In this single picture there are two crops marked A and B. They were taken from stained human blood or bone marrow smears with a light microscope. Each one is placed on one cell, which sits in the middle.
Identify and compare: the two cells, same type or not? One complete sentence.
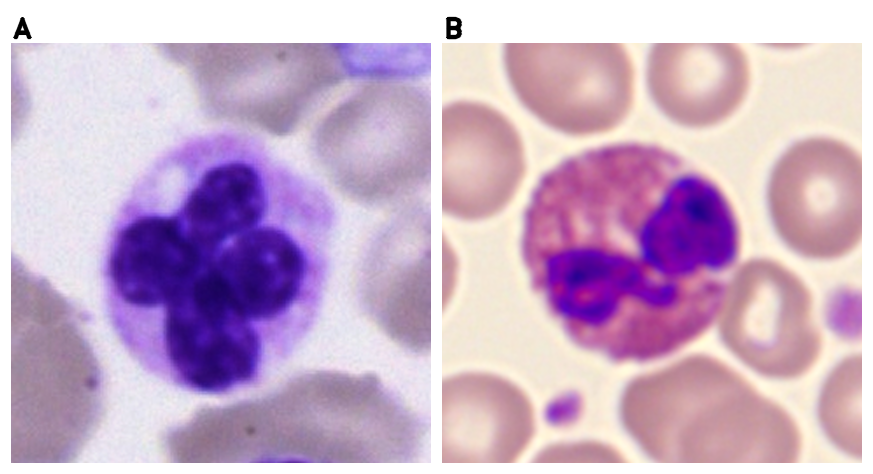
No, crop A captures a segmented neutrophil, and crop B captures an eosinophil.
